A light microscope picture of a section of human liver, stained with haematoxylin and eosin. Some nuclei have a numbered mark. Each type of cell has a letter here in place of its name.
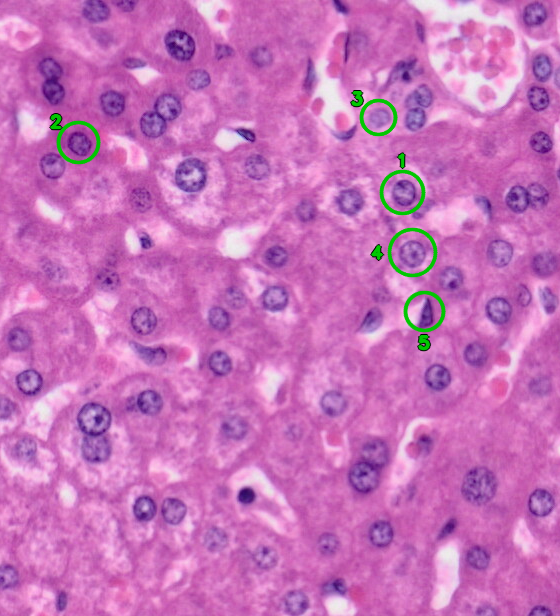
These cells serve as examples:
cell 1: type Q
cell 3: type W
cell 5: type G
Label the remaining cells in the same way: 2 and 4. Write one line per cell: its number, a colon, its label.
2: type Q
4: type Q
